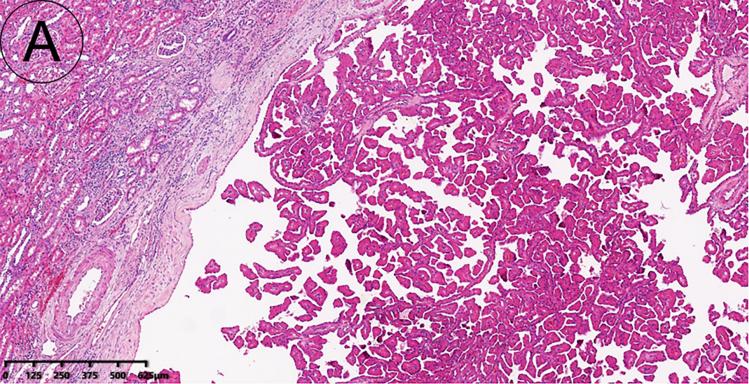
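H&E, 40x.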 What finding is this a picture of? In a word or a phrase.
Well demarcated.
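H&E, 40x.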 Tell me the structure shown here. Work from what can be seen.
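Numerous branching finger-like fronds fill the right part of the field. Fronds are separated by clear spaces. So: complex branched papillary structure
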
